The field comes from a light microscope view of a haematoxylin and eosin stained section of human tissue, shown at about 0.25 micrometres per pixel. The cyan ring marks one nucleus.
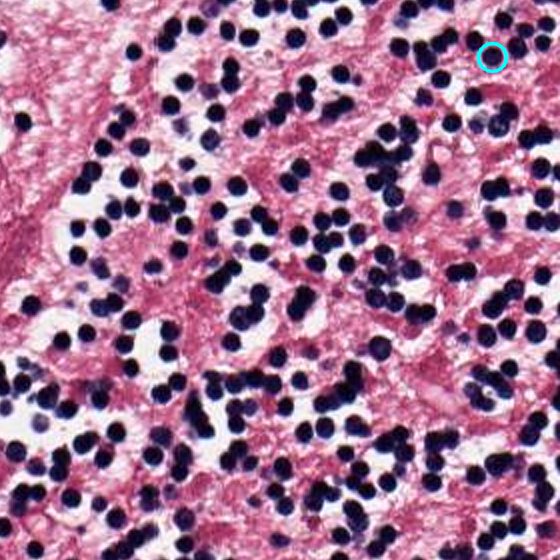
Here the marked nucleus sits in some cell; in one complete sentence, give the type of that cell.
The marked nucleus belongs to a cerebellar granule cell.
